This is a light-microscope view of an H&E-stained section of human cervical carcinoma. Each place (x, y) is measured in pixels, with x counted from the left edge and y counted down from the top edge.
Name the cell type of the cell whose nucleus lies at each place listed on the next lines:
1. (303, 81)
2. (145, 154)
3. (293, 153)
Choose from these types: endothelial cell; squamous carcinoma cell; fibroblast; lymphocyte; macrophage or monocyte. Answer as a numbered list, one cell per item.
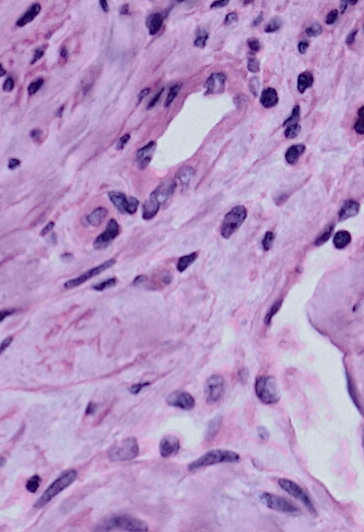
1. lymphocyte
2. endothelial cell
3. lymphocyte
